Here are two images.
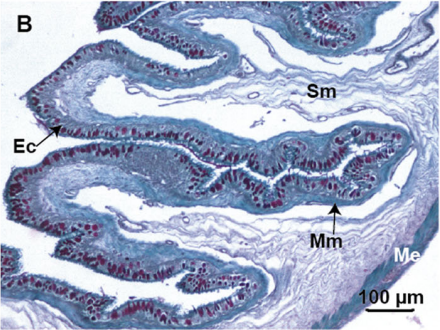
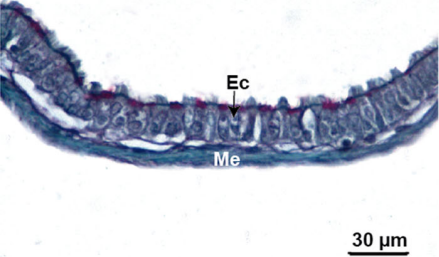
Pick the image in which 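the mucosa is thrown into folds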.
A: the first image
